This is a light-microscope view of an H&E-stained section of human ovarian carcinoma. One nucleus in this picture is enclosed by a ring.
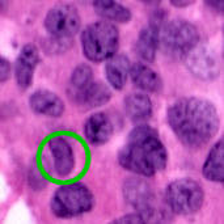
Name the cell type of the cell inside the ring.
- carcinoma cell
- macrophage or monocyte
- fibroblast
carcinoma cell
